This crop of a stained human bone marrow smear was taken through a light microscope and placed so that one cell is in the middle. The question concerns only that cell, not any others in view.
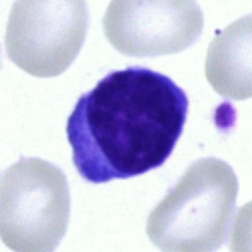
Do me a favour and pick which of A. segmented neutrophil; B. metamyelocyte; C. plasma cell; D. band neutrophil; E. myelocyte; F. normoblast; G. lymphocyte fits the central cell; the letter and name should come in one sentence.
The middle of the crop contains a plasma cell, so option C is right.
